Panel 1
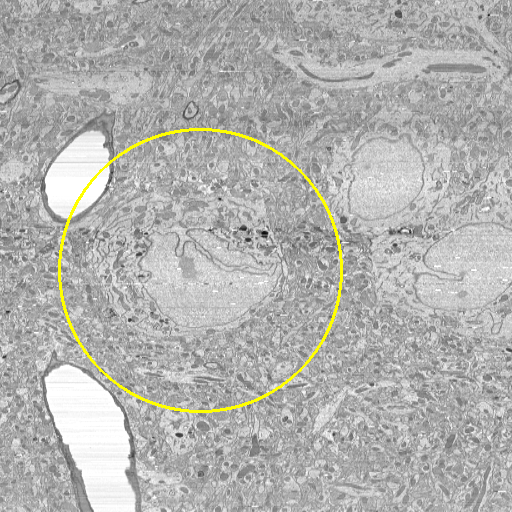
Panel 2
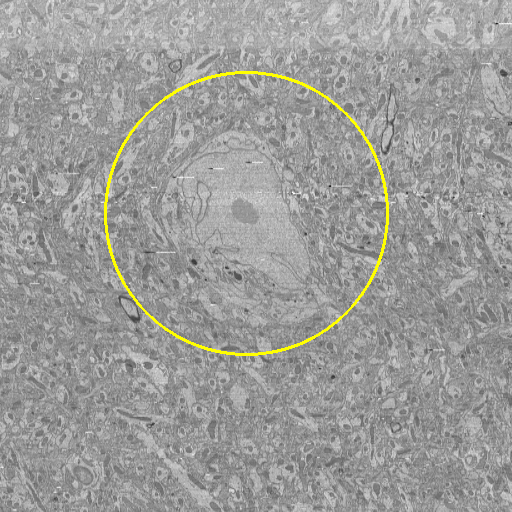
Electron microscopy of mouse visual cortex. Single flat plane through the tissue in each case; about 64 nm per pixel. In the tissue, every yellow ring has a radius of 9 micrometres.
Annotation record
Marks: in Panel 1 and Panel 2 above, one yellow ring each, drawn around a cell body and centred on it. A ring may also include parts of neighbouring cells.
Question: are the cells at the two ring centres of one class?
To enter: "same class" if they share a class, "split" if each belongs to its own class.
same class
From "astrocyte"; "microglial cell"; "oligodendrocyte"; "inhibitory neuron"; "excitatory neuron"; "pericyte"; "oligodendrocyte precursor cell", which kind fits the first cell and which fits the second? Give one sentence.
In each of the two pictures, the ringed cell is an inhibitory neuron.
